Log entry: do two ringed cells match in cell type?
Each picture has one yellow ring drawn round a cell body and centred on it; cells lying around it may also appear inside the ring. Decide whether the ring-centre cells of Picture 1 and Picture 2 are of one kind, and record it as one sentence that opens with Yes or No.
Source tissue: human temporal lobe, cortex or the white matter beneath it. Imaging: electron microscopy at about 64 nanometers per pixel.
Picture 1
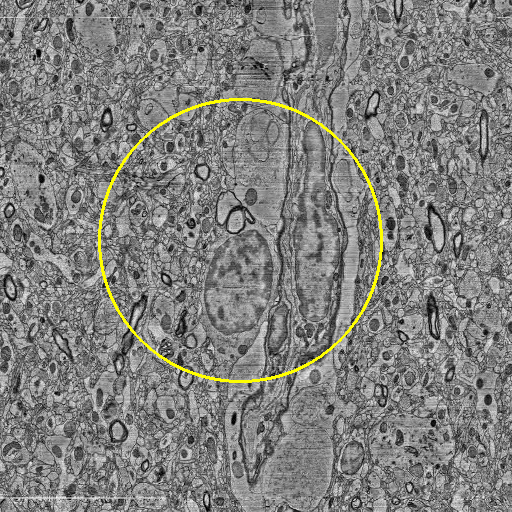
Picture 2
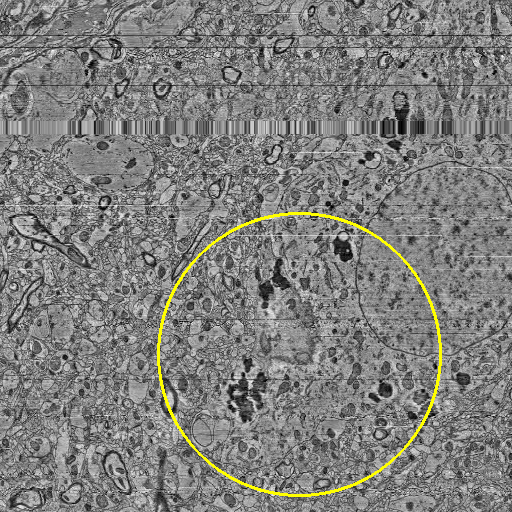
Yes, the cells at the ring centres of the two pictures belong to one kind.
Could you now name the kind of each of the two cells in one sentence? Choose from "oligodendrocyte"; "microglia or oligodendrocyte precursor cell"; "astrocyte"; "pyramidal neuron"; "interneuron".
Each of the two cells is an oligodendrocyte.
